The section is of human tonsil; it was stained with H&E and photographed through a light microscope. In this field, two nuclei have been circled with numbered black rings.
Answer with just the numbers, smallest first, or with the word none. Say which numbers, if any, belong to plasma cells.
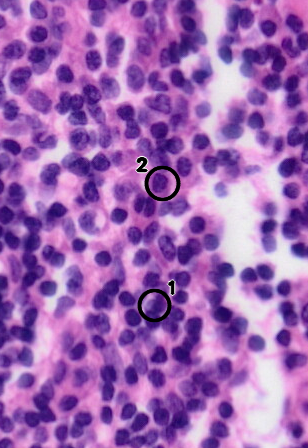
2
